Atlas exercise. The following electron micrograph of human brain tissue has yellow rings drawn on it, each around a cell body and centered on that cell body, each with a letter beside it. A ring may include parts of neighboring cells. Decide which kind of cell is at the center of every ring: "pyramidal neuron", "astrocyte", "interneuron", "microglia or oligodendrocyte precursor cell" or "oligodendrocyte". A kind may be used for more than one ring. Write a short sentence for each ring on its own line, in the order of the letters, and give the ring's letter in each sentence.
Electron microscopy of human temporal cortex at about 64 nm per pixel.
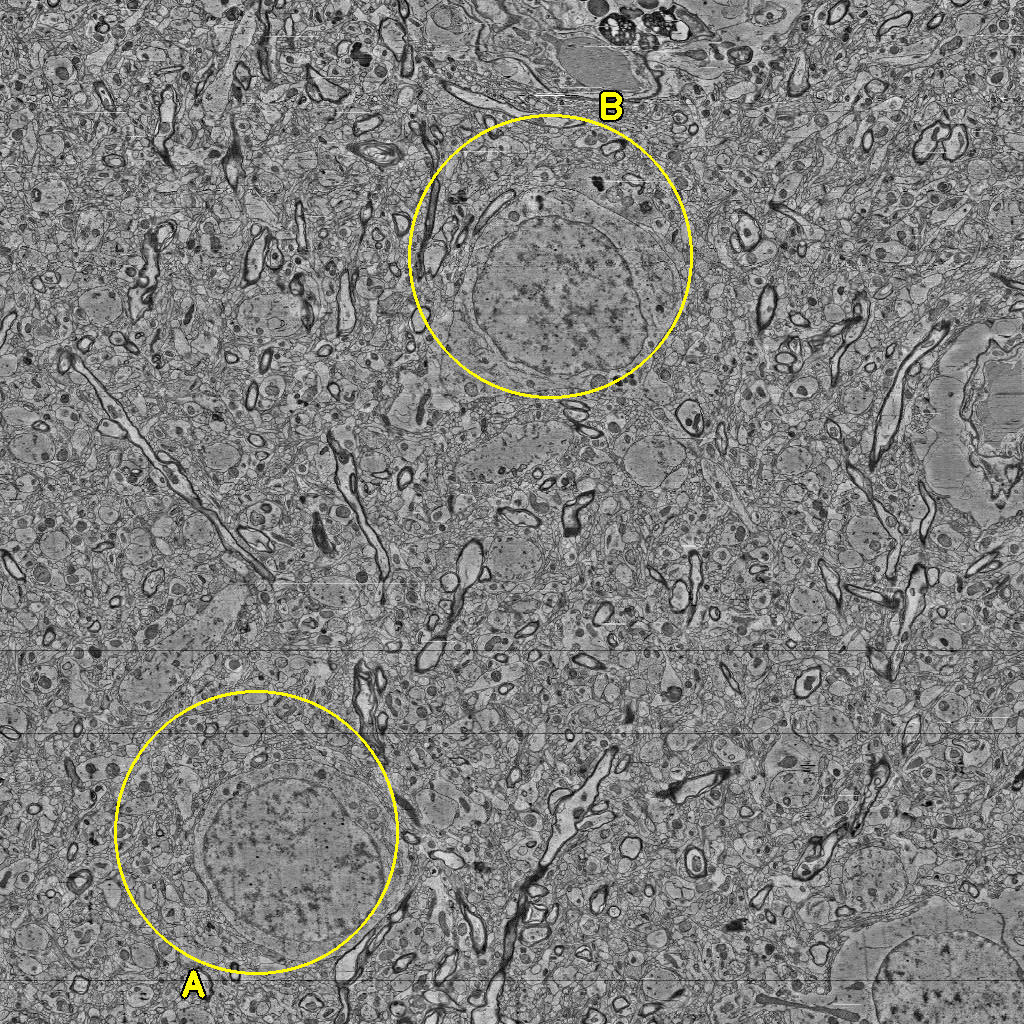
Ring A frames an interneuron at its center.
Ring B frames a pyramidal neuron at its center.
